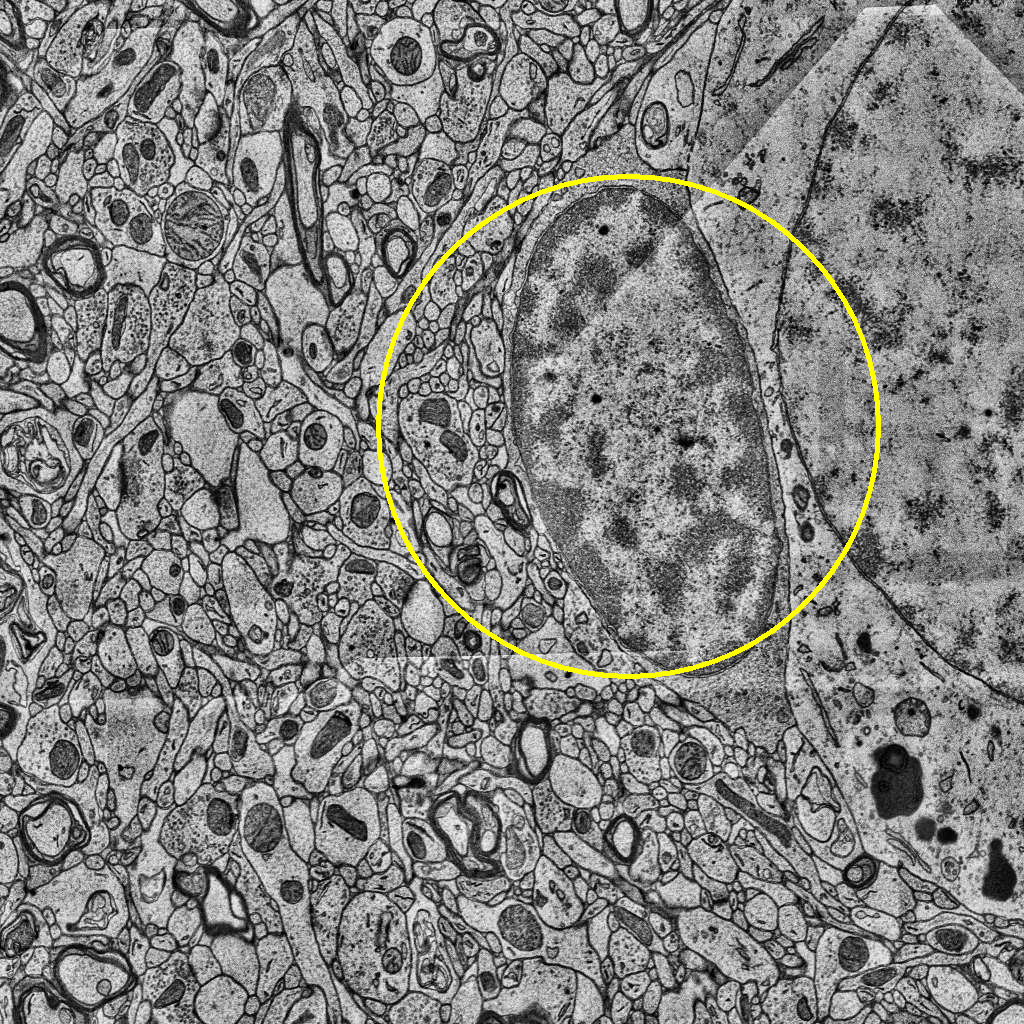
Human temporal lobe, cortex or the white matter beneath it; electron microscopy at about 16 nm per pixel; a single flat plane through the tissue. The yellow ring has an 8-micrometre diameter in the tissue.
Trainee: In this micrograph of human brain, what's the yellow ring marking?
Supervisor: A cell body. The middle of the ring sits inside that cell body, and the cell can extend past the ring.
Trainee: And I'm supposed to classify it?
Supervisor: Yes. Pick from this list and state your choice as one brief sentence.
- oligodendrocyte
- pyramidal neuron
The cell at the ring's center is an oligodendrocyte.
